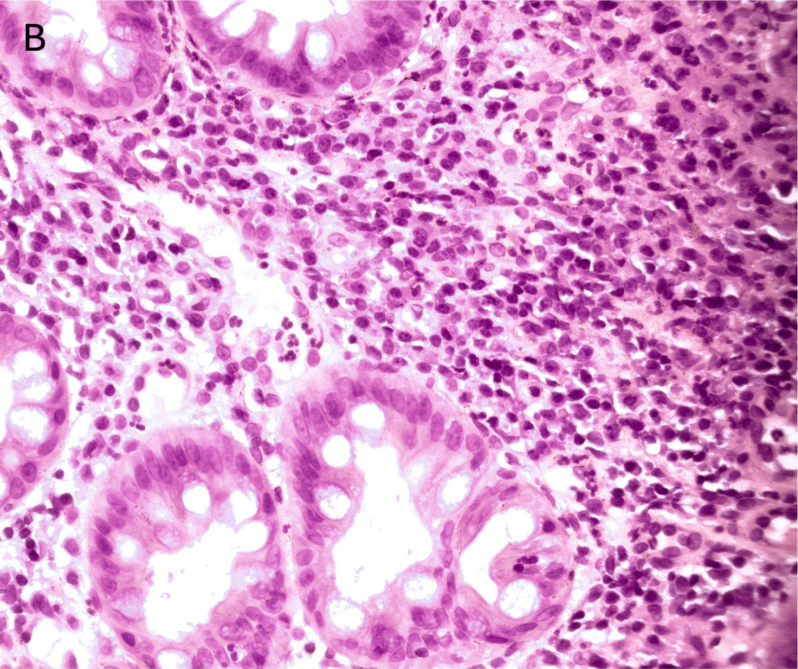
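This is colonic mucosa with crypts lined by columnar epithelium and goblet cells, set in a heavily inflamed lamina propria. The crypts are cut across and show pale mucin vacuoles of goblet cells with basal purple nuclei in the pink epithelium. Between the crypts the lamina propria is crowded with small inflammatory cells with dark purple nuclei, forming a dense infiltrate. The infiltrate becomes denser toward the right side, where crypts are absent and the stroma is filled with packed cells.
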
